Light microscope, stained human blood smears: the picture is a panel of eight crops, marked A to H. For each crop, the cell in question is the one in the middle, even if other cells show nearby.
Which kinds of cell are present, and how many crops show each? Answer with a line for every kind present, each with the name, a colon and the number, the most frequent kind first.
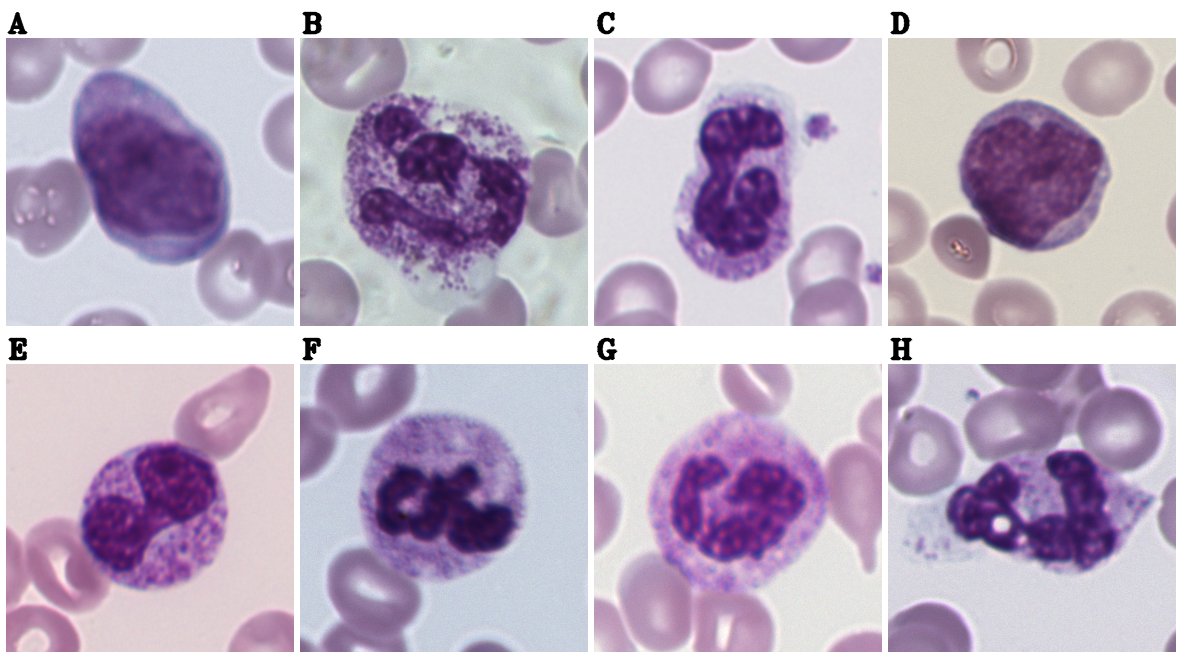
segmented neutrophil: 6
atypical promyelocyte: 2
